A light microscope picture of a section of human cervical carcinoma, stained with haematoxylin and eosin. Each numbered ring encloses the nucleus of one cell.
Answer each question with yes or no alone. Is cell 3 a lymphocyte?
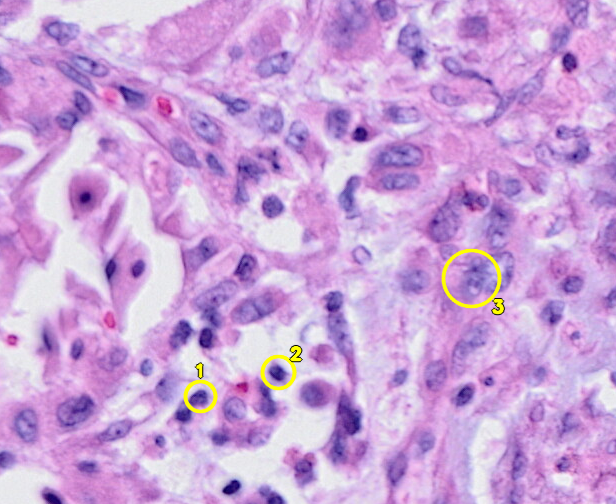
no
